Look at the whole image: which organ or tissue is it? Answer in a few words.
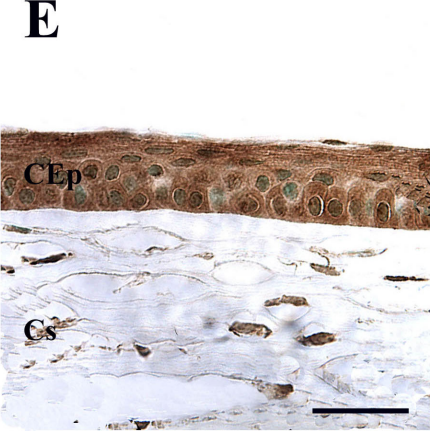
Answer: Cornea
